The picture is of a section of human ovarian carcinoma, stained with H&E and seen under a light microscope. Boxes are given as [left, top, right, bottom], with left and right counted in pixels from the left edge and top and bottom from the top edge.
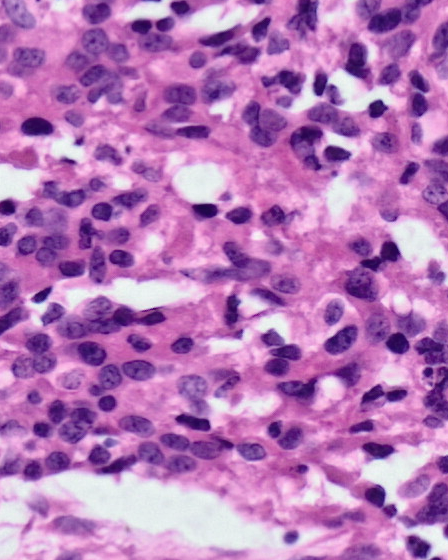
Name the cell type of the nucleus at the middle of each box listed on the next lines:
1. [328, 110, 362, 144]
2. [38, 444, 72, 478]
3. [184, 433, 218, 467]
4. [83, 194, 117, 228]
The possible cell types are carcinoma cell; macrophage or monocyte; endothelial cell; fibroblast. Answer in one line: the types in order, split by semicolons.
carcinoma cell; carcinoma cell; carcinoma cell; macrophage or monocyte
